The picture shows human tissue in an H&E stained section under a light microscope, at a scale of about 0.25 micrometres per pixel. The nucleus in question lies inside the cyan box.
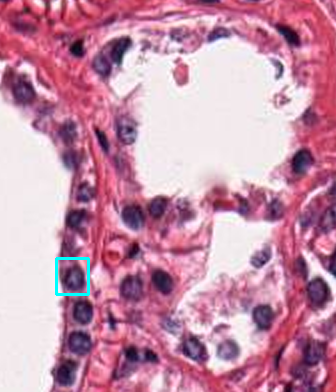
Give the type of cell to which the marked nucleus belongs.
thyroid follicular cell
